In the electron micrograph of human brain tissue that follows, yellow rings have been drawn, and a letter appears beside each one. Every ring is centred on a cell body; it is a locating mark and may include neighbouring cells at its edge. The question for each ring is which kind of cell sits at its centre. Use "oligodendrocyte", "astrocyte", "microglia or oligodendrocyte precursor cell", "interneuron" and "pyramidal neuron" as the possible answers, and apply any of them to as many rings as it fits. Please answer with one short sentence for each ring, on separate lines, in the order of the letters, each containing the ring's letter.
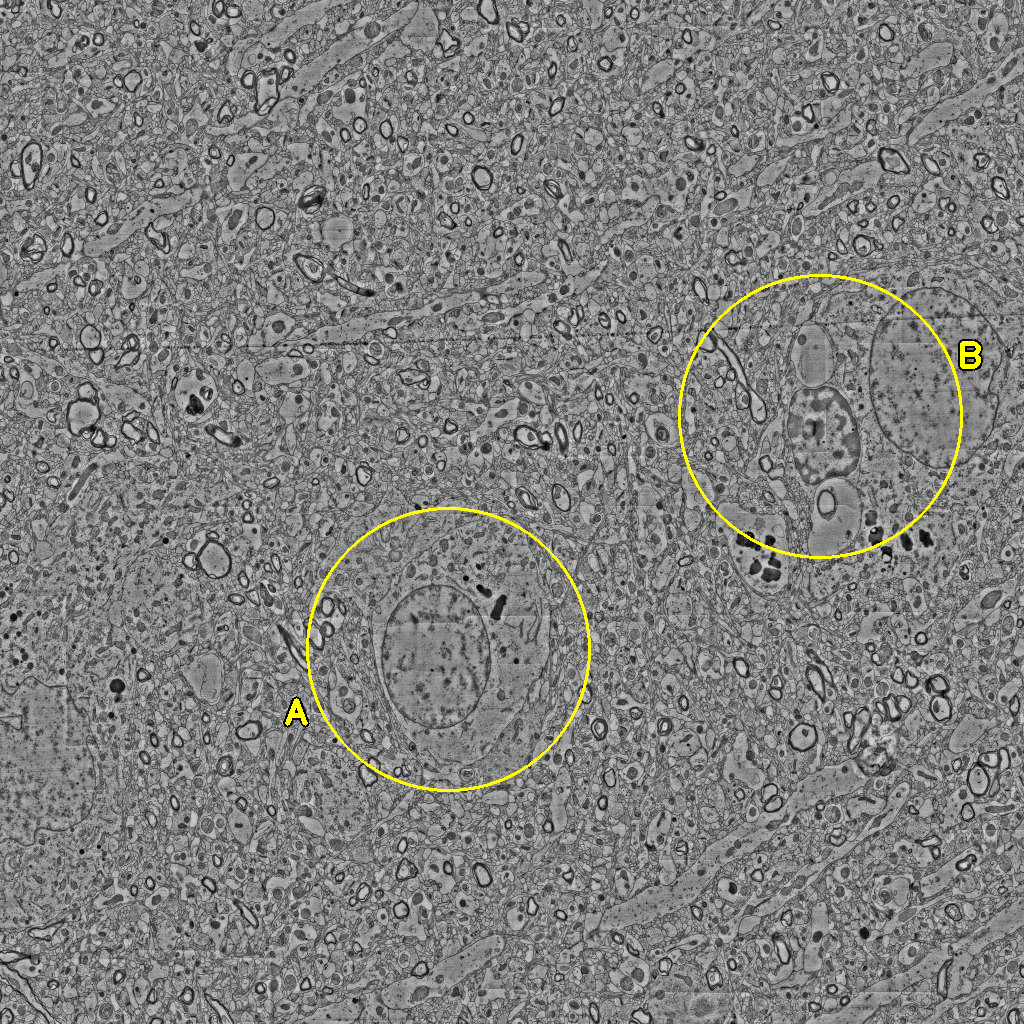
Sitting at the centre of ring A is a pyramidal neuron.
Sitting at the centre of ring B is a microglial cell or oligodendrocyte precursor cell.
